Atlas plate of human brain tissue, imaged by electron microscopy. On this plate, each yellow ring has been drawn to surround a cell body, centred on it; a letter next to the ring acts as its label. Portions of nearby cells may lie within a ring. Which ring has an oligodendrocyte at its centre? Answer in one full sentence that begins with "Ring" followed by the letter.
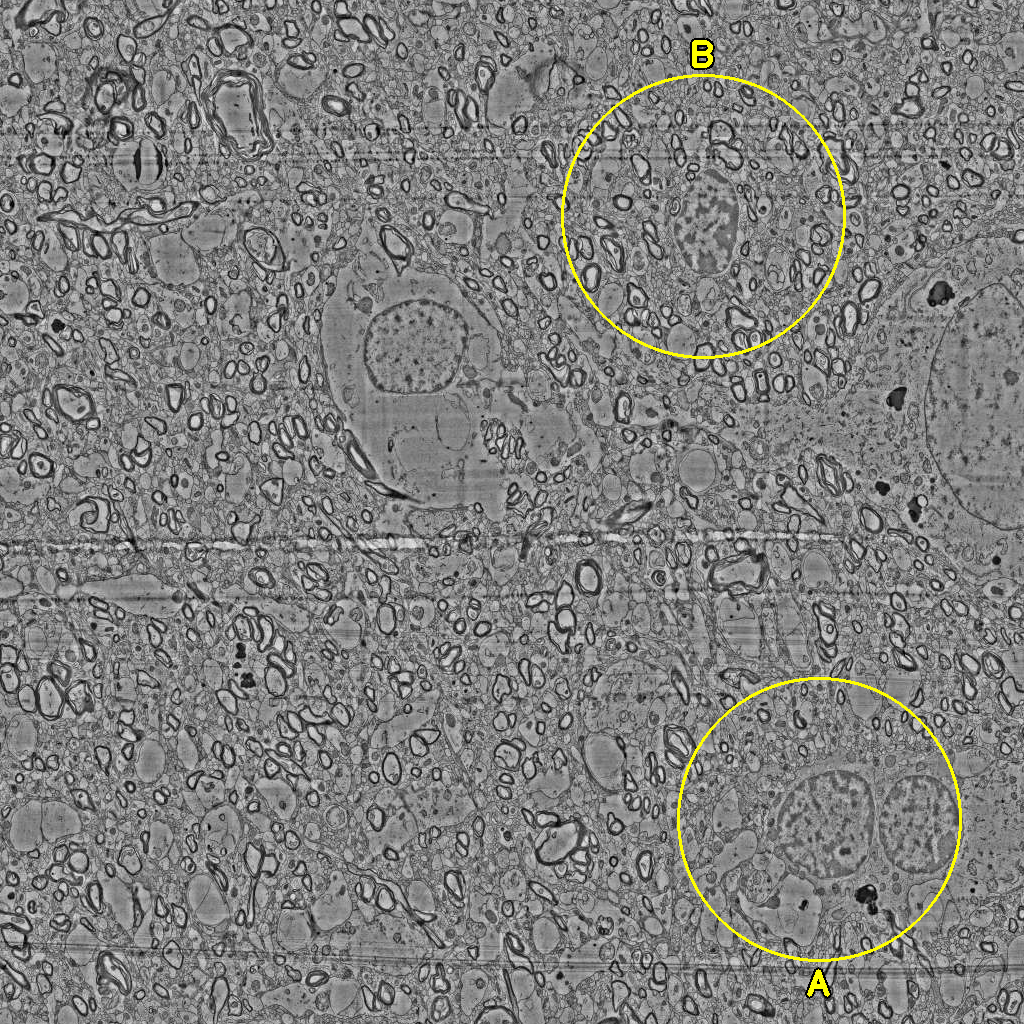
Ring A is drawn around the requested cell, which lies at its centre in the picture.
